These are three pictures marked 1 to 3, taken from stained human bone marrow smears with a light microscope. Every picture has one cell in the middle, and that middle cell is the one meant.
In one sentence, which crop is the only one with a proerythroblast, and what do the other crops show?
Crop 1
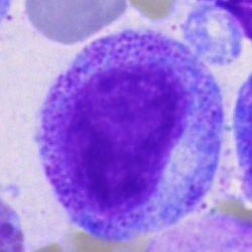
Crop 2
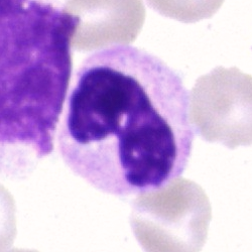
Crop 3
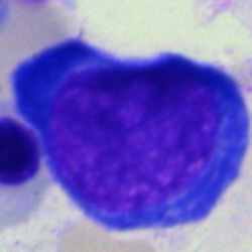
The cell of interest in crop 3 is a proerythroblast, and crop 1 is a promyelocyte and crop 2 is a neutrophil.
